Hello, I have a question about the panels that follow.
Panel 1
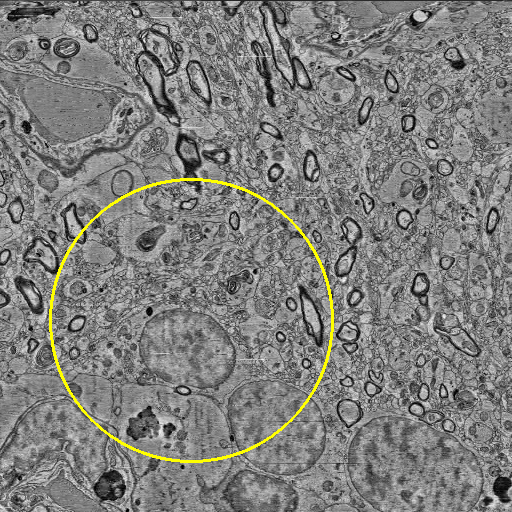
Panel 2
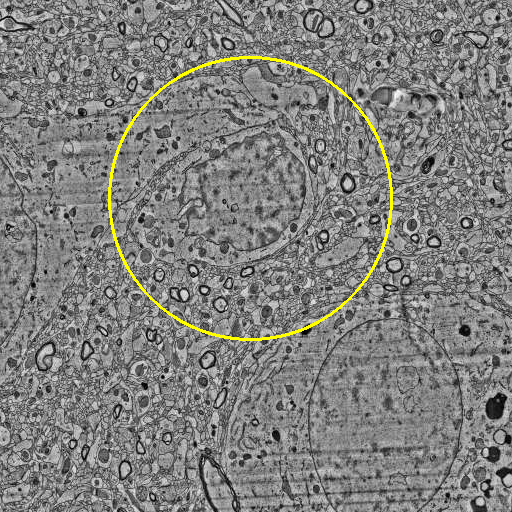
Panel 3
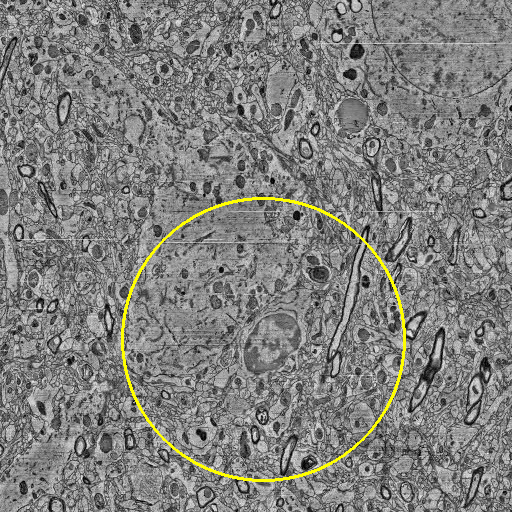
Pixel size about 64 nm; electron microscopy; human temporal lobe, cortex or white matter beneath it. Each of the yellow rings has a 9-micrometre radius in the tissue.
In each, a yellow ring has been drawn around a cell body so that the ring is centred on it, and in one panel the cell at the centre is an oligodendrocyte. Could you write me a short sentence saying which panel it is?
It is Panel 1.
